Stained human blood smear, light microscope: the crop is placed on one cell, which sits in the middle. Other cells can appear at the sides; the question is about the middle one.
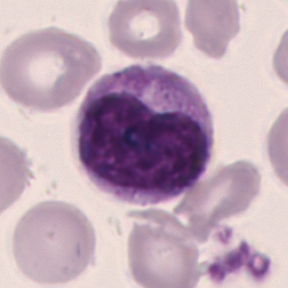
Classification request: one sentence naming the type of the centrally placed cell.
The center cell of this crop is a metamyelocyte.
